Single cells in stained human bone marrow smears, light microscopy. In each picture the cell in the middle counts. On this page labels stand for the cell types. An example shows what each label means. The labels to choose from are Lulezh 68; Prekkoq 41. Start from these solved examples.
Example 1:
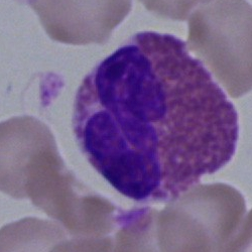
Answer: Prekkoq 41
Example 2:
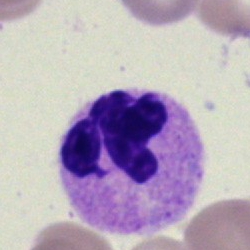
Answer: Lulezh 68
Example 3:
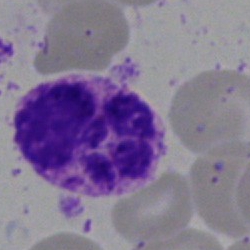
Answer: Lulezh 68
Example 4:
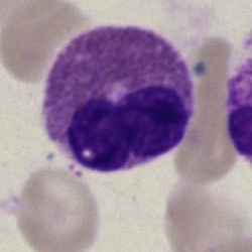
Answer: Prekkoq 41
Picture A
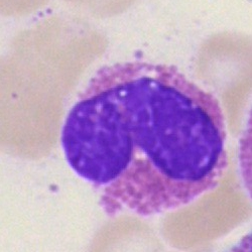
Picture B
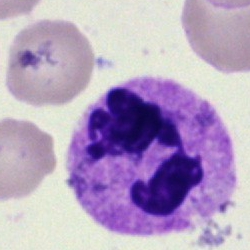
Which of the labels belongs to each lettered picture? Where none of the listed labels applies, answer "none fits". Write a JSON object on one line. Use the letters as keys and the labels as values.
{"A": "Prekkoq 41", "B": "Lulezh 68"}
